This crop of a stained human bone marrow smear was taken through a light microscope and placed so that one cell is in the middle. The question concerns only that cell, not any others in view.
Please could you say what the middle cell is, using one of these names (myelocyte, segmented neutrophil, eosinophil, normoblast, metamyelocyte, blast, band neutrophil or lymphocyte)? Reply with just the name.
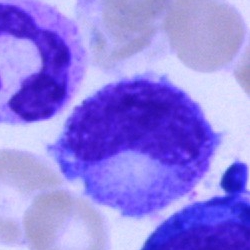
metamyelocyte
